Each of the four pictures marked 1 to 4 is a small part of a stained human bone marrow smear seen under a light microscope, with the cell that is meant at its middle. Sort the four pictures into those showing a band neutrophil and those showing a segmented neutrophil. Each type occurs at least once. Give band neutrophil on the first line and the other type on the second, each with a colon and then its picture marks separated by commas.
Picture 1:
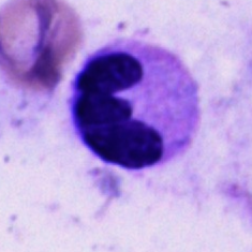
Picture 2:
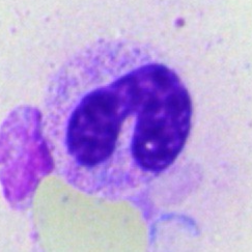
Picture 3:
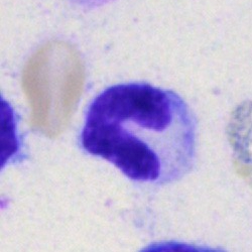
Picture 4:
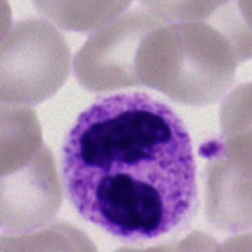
band neutrophil: 2, 3
segmented neutrophil: 1, 4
